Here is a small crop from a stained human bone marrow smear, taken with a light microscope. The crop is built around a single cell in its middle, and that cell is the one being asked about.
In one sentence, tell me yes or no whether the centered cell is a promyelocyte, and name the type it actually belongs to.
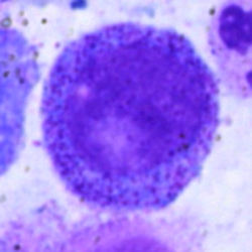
Yes, the cell in the exact middle is a promyelocyte.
